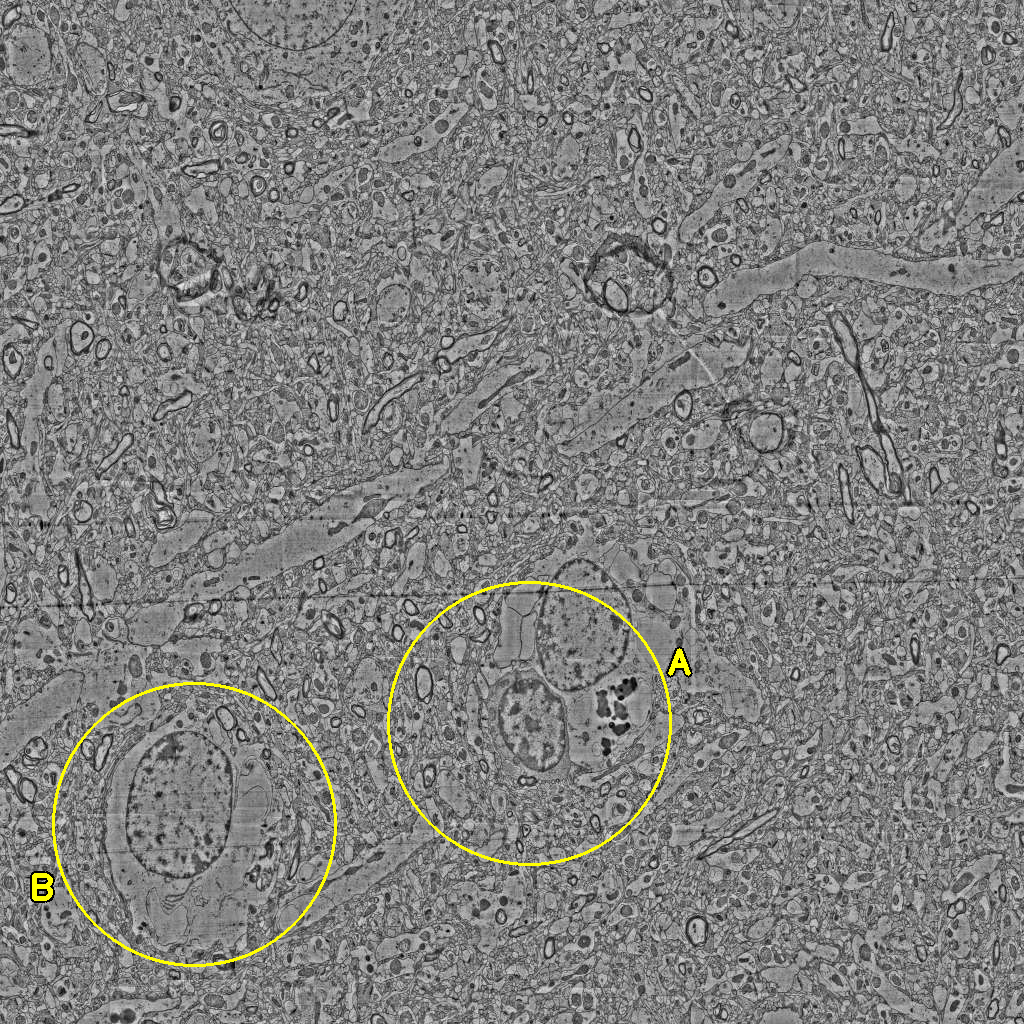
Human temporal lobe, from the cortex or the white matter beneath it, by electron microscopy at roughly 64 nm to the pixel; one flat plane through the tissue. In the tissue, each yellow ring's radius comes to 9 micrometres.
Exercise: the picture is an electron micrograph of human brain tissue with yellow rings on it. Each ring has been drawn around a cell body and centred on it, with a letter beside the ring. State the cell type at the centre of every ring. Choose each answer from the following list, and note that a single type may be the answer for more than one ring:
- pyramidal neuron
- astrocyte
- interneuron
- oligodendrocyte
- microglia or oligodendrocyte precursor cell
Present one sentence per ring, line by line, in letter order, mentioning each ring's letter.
Ring A shows an oligodendrocyte at its centre.
Ring B shows an astrocyte at its centre.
